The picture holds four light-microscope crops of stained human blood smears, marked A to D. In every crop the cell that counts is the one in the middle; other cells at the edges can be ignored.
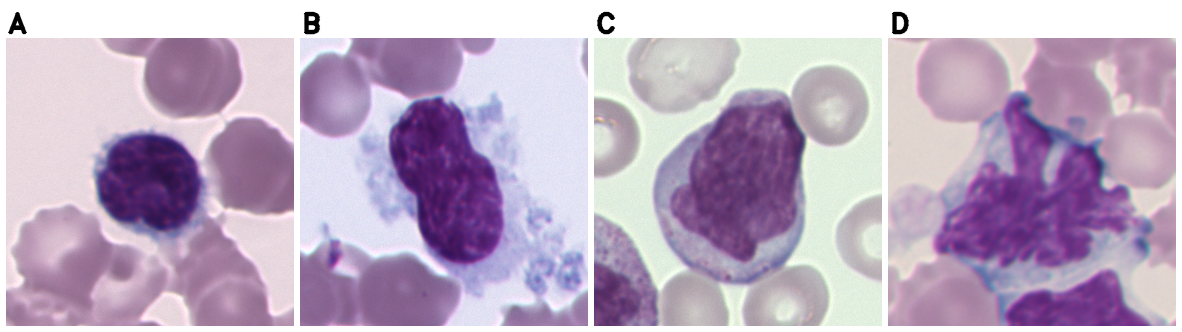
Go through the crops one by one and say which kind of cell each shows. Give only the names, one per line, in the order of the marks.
hairy cell
hairy cell
atypical promyelocyte
monocyte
